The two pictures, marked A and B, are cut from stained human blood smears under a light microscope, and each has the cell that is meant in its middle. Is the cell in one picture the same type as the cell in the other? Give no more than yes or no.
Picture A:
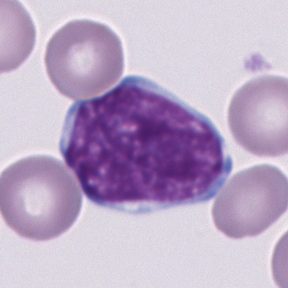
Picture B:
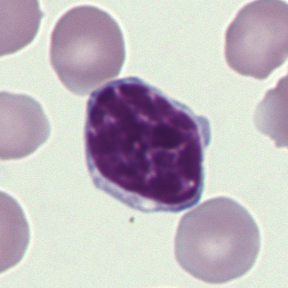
no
